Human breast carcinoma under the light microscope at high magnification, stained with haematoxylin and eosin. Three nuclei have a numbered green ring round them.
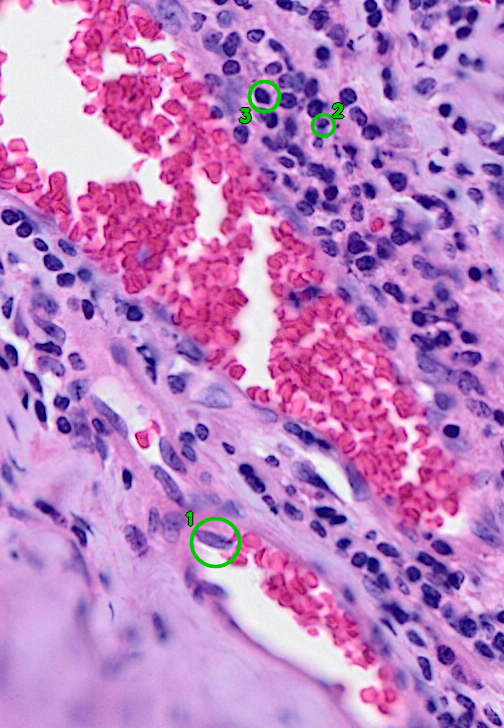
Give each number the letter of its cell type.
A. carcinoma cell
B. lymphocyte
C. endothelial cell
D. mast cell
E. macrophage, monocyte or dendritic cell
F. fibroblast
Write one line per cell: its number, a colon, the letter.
1: C
2: B
3: B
